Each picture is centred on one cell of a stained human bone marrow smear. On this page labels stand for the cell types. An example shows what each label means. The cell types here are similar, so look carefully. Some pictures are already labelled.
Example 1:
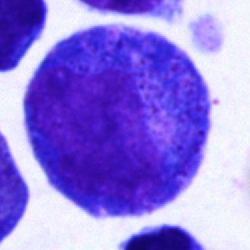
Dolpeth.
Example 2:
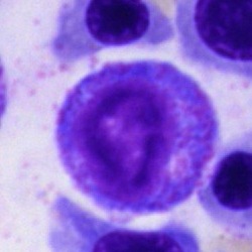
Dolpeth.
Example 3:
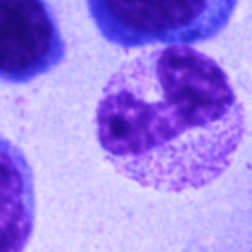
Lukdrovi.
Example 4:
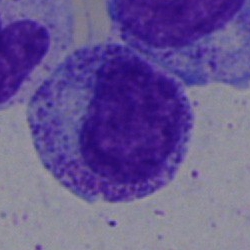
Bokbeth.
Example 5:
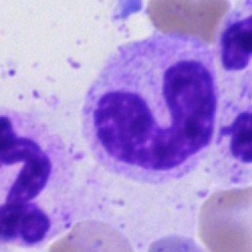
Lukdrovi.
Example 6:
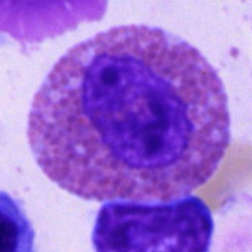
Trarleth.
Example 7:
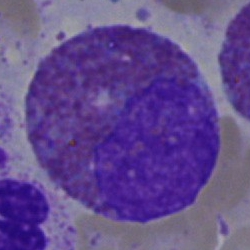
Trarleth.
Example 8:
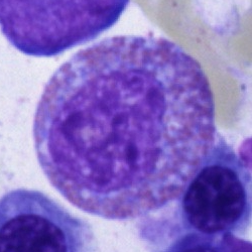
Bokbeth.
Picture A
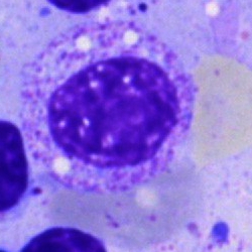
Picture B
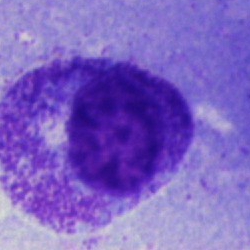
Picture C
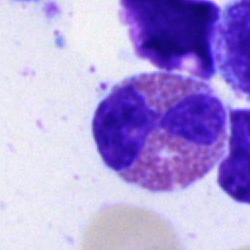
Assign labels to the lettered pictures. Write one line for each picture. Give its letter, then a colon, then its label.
A: Bokbeth.
B: Bokbeth.
C: Trarleth.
